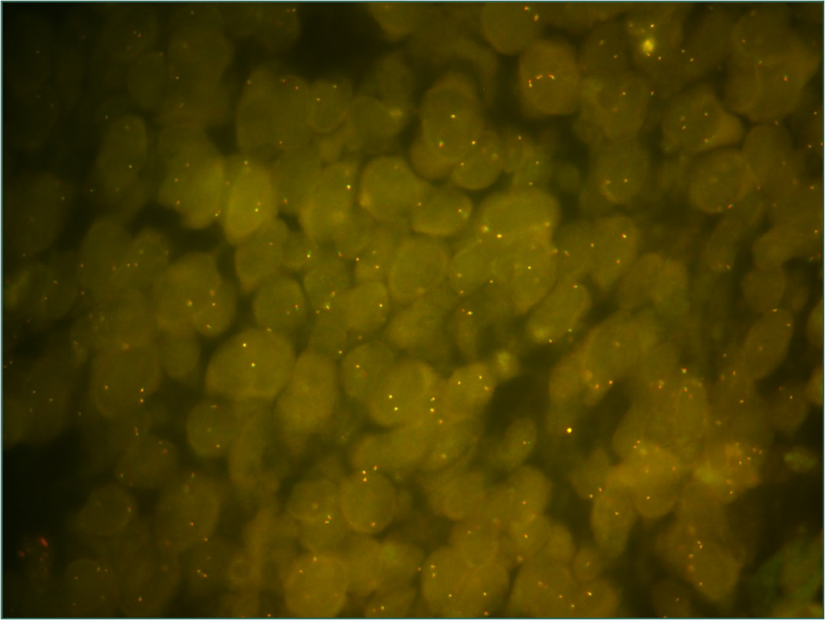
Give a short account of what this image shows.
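Within the nuclei lie small, sharply defined bright dots. Most dots appear yellow to orange, where red and green lie together as one spot, and a few nuclei hold two or more such spots. Isolated red or green dots standing apart from one another are scarce.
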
